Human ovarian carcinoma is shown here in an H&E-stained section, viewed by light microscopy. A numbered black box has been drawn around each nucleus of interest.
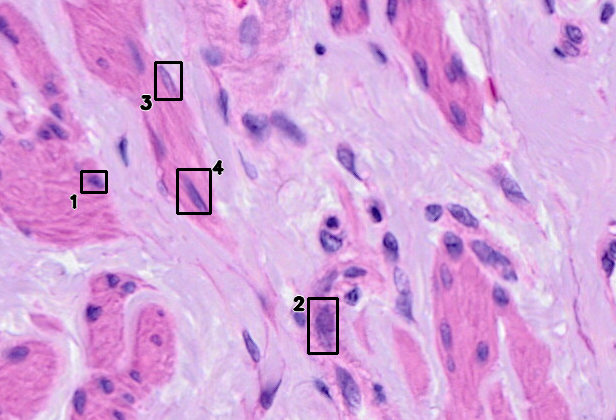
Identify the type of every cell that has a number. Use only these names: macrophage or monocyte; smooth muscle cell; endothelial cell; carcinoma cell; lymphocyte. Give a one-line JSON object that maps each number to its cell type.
{"1": "smooth muscle cell", "2": "endothelial cell", "3": "smooth muscle cell", "4": "smooth muscle cell"}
